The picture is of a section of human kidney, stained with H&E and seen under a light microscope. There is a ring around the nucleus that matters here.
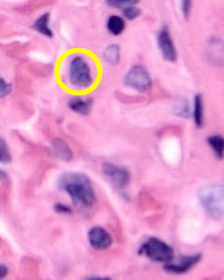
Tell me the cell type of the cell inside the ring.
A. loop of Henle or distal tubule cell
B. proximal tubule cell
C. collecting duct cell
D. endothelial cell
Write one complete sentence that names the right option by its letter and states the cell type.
The choice that fits is option D, as the cell inside the ring is an endothelial cell.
